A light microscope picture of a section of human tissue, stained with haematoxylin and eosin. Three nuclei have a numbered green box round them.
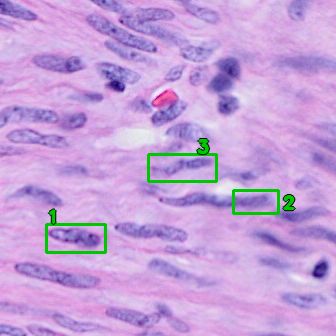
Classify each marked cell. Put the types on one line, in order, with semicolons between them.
smooth muscle cell; fibroblast; fibroblast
